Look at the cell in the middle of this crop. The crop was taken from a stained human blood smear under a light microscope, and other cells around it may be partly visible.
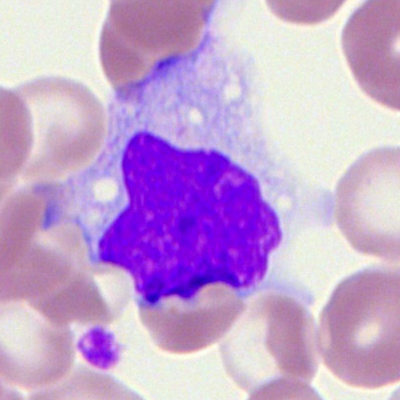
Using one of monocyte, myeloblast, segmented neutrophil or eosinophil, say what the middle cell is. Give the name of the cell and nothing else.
monocyte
